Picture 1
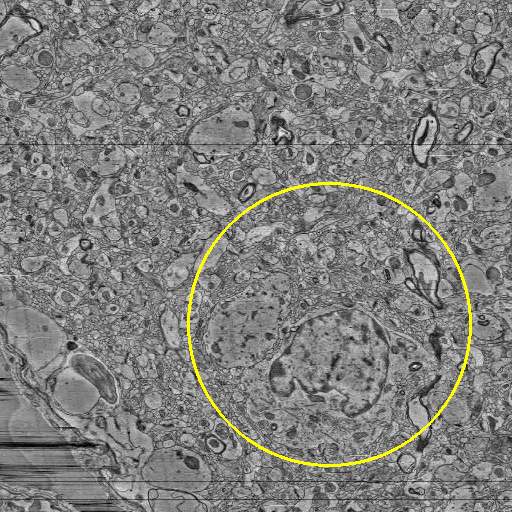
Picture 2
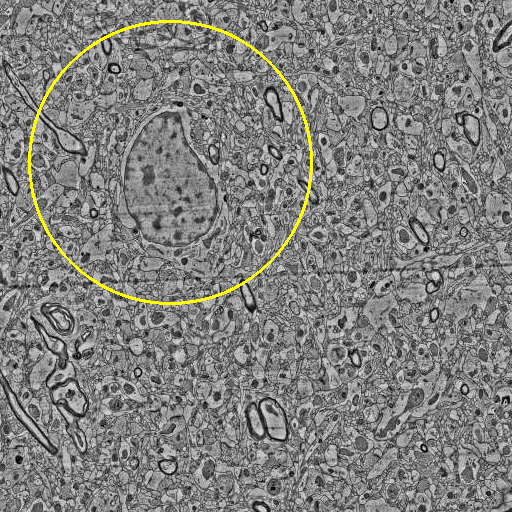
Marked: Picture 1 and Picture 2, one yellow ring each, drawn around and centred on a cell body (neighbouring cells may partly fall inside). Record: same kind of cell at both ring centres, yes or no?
yes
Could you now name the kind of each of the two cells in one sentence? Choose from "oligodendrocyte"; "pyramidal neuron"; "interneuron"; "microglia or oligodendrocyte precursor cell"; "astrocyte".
In the first picture and in the second, the ring is centred on a microglial cell or oligodendrocyte precursor cell.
